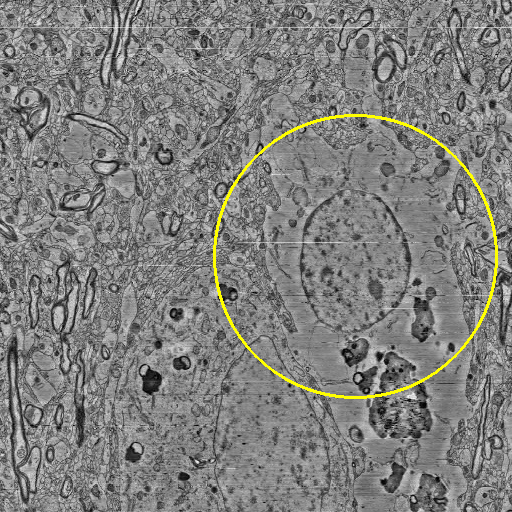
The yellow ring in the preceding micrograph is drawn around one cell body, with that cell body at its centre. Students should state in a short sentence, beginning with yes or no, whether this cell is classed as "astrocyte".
Yes, this cell is of that type.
